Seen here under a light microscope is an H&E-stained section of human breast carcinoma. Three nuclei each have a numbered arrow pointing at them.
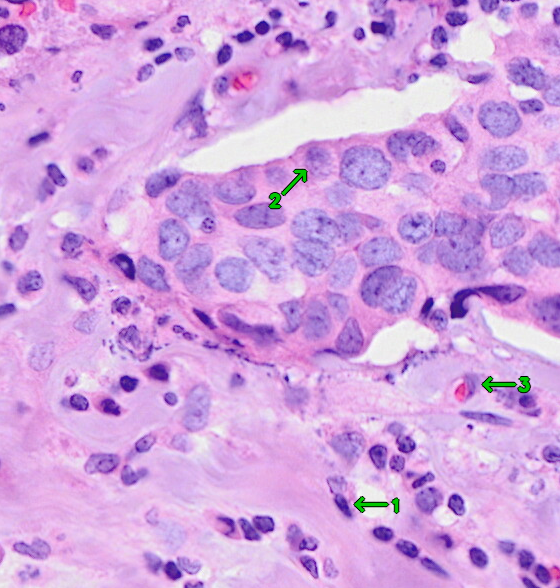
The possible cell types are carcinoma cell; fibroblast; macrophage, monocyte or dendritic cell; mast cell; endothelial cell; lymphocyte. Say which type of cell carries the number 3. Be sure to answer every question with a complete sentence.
As for number 3, that cell is an endothelial cell.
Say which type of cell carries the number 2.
Numbered cell 2 is a carcinoma cell in this tissue section.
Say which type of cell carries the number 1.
The correct label for cell 1 is a lymphocyte.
